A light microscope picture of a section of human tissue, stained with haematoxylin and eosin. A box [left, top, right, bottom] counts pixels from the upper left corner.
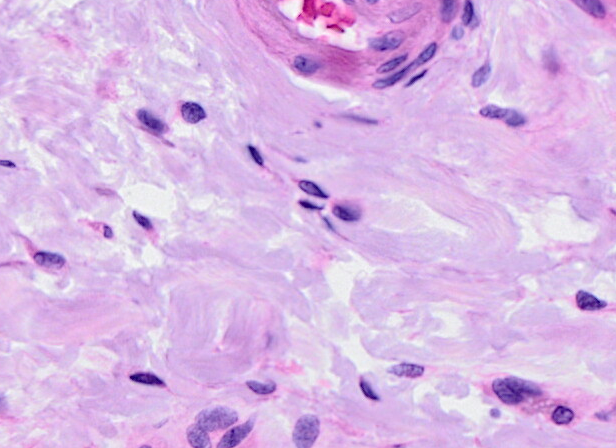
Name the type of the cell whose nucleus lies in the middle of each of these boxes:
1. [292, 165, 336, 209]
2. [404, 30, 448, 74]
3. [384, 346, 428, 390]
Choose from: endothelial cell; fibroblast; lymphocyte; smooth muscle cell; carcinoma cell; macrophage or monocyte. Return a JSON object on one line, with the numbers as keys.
{"1": "fibroblast", "2": "smooth muscle cell", "3": "fibroblast"}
